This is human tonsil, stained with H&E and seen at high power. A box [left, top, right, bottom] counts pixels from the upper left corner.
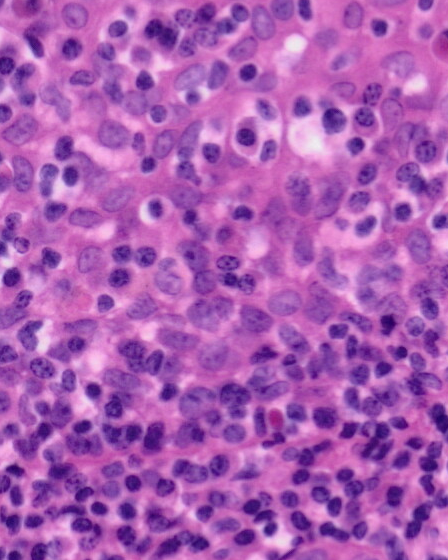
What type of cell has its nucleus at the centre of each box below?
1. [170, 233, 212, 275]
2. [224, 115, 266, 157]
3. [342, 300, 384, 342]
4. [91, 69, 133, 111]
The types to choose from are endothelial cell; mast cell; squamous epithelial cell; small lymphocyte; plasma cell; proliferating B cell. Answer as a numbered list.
1. squamous epithelial cell
2. plasma cell
3. squamous epithelial cell
4. squamous epithelial cell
